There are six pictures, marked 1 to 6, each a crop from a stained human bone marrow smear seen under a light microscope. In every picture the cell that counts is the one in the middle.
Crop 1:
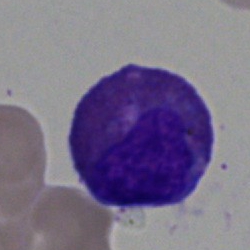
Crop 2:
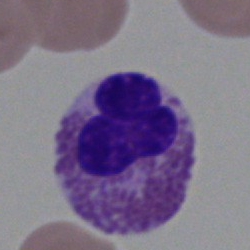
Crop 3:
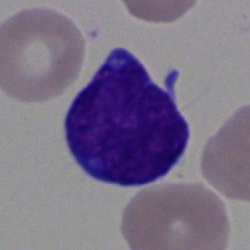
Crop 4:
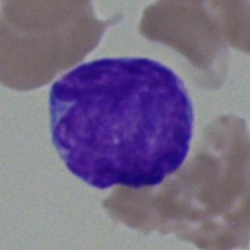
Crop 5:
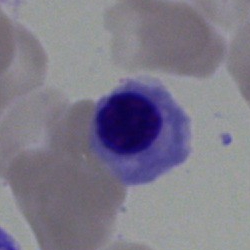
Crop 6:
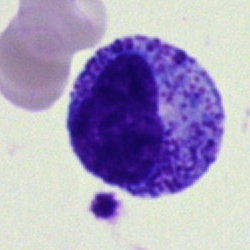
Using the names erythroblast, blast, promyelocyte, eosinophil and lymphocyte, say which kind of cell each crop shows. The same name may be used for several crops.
1: eosinophil
2: eosinophil
3: blast
4: blast
5: erythroblast
6: promyelocyte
